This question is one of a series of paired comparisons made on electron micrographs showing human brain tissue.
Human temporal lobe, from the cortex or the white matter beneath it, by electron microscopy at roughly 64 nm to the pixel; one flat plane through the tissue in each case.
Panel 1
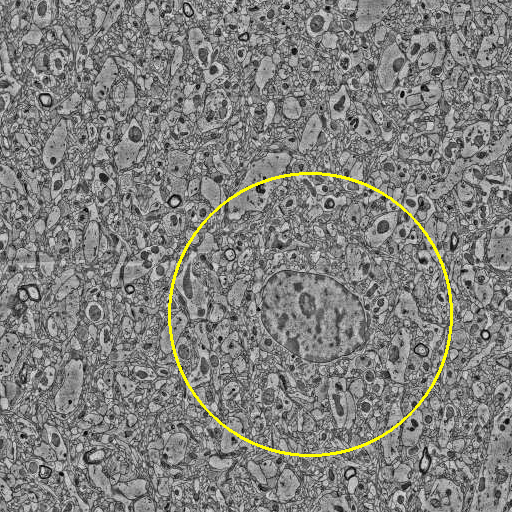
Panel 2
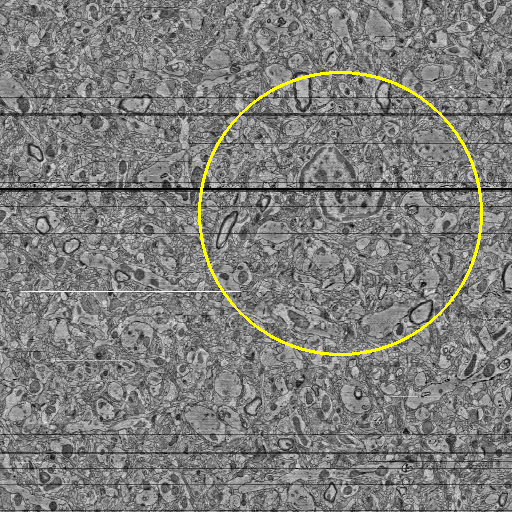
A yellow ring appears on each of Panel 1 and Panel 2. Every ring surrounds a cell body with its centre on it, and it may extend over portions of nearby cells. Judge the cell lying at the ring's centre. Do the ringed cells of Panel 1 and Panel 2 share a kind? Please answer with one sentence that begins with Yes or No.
Yes, the ring-centre cell in Panel 1 and the one in Panel 2 are of one kind.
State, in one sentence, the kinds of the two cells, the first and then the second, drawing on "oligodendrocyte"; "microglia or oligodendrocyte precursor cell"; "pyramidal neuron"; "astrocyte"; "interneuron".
Each one of the two ringed cells is a microglial cell or oligodendrocyte precursor cell.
